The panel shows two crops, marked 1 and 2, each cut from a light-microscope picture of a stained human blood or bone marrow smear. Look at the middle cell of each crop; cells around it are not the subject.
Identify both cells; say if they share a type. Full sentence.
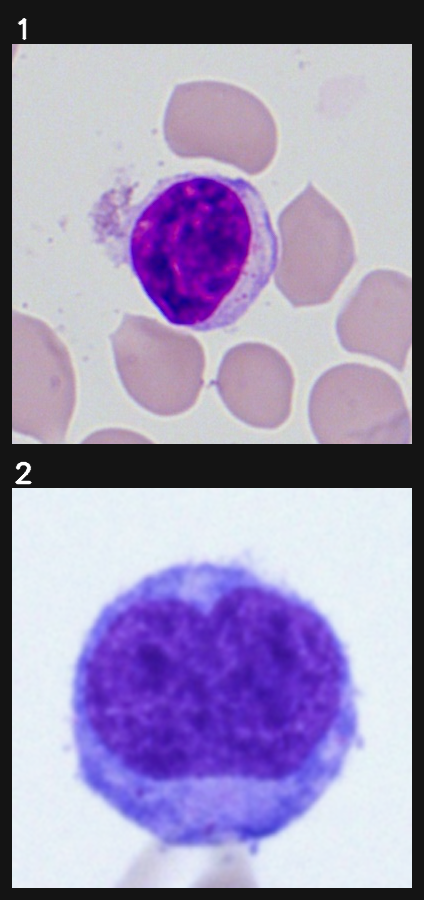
No, crop 1 contains a lymphocyte, and crop 2 contains a blast.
